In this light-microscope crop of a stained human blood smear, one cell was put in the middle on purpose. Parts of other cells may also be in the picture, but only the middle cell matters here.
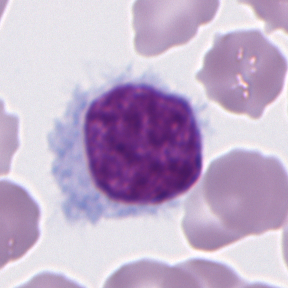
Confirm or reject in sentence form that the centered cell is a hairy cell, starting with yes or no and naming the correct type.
Yes, the cell found in the middle is a hairy cell.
